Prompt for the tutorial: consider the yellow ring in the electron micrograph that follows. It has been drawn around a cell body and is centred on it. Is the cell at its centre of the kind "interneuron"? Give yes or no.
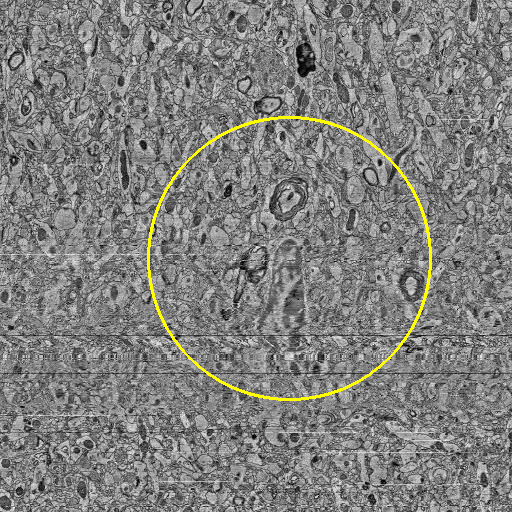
no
